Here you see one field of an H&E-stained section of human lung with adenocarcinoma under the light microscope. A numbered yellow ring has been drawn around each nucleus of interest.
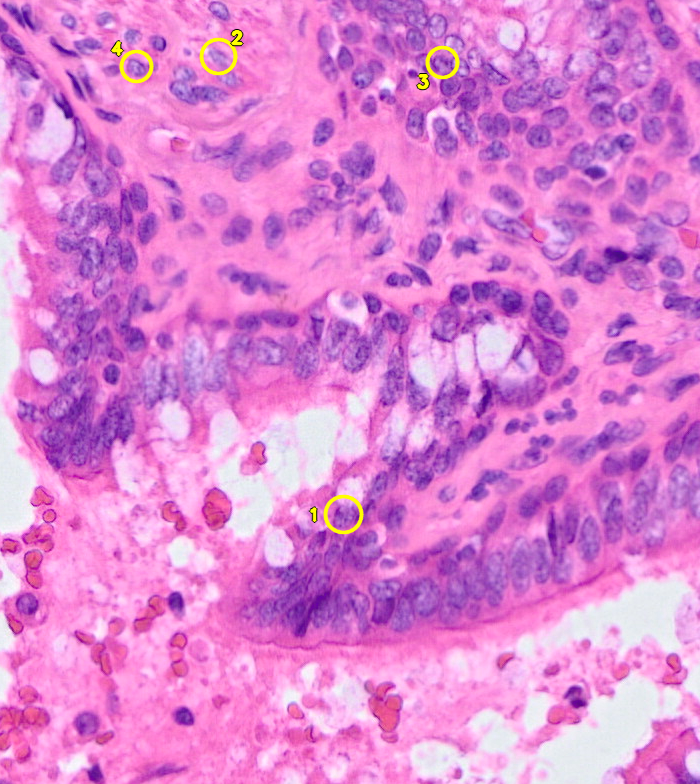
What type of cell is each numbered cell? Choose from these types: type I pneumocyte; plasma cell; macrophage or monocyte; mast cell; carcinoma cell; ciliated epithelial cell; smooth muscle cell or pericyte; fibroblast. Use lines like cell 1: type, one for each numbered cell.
cell 1: ciliated epithelial cell
cell 2: smooth muscle cell or pericyte
cell 3: ciliated epithelial cell
cell 4: smooth muscle cell or pericyte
